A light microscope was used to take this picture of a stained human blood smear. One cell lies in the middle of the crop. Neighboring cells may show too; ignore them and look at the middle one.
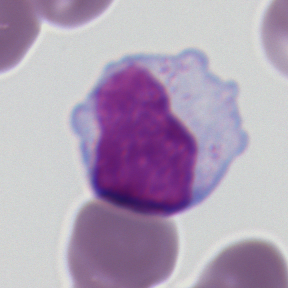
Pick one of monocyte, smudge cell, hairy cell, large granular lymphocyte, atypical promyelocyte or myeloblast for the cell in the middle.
large granular lymphocyte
